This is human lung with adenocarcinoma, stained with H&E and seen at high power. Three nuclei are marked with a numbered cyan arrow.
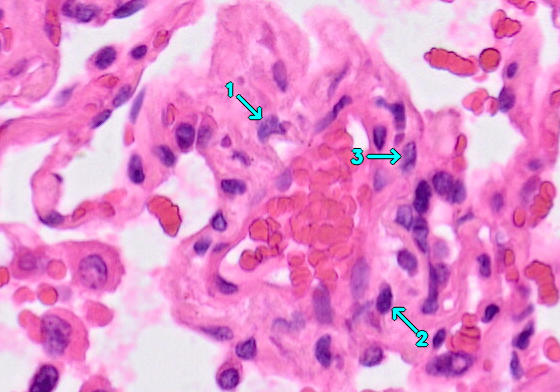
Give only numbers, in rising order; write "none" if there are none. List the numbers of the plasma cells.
2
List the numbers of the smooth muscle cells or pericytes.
none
